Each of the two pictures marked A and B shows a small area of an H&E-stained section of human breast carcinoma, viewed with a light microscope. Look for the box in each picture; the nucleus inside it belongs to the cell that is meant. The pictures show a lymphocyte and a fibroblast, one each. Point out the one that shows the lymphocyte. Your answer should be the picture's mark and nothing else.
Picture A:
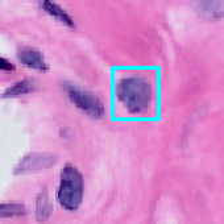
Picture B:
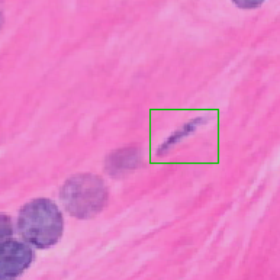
A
